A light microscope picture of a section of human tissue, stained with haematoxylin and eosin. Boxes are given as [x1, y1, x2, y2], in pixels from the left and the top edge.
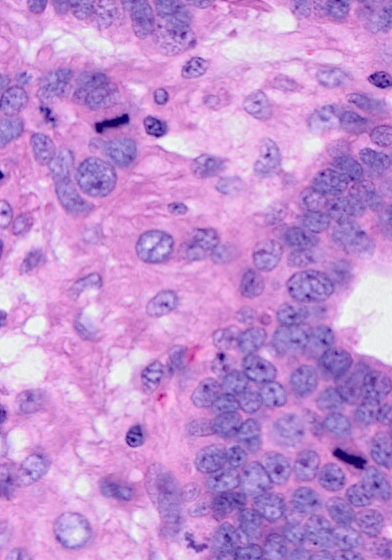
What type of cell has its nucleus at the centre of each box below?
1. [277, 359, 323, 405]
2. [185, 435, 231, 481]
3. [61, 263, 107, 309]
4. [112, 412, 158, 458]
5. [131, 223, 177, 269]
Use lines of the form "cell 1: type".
cell 1: carcinoma cell
cell 2: carcinoma cell
cell 3: fibroblast
cell 4: lymphocyte
cell 5: fibroblast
